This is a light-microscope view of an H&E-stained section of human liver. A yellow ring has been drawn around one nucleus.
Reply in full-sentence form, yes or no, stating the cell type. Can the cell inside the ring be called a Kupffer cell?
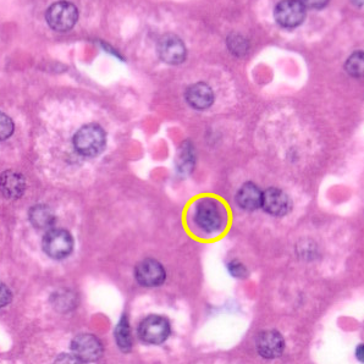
No, for the cell inside the ring the correct label is a fibroblast or stellate cell and not a Kupffer cell.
